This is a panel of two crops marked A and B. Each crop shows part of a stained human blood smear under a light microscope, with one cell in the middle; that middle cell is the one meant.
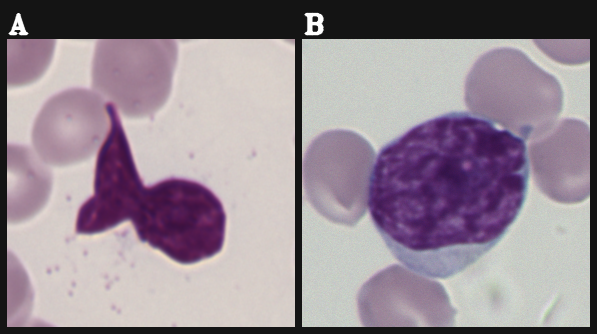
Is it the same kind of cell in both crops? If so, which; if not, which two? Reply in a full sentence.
No, crop A offers a smudge cell, while crop B offers a myeloblast.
